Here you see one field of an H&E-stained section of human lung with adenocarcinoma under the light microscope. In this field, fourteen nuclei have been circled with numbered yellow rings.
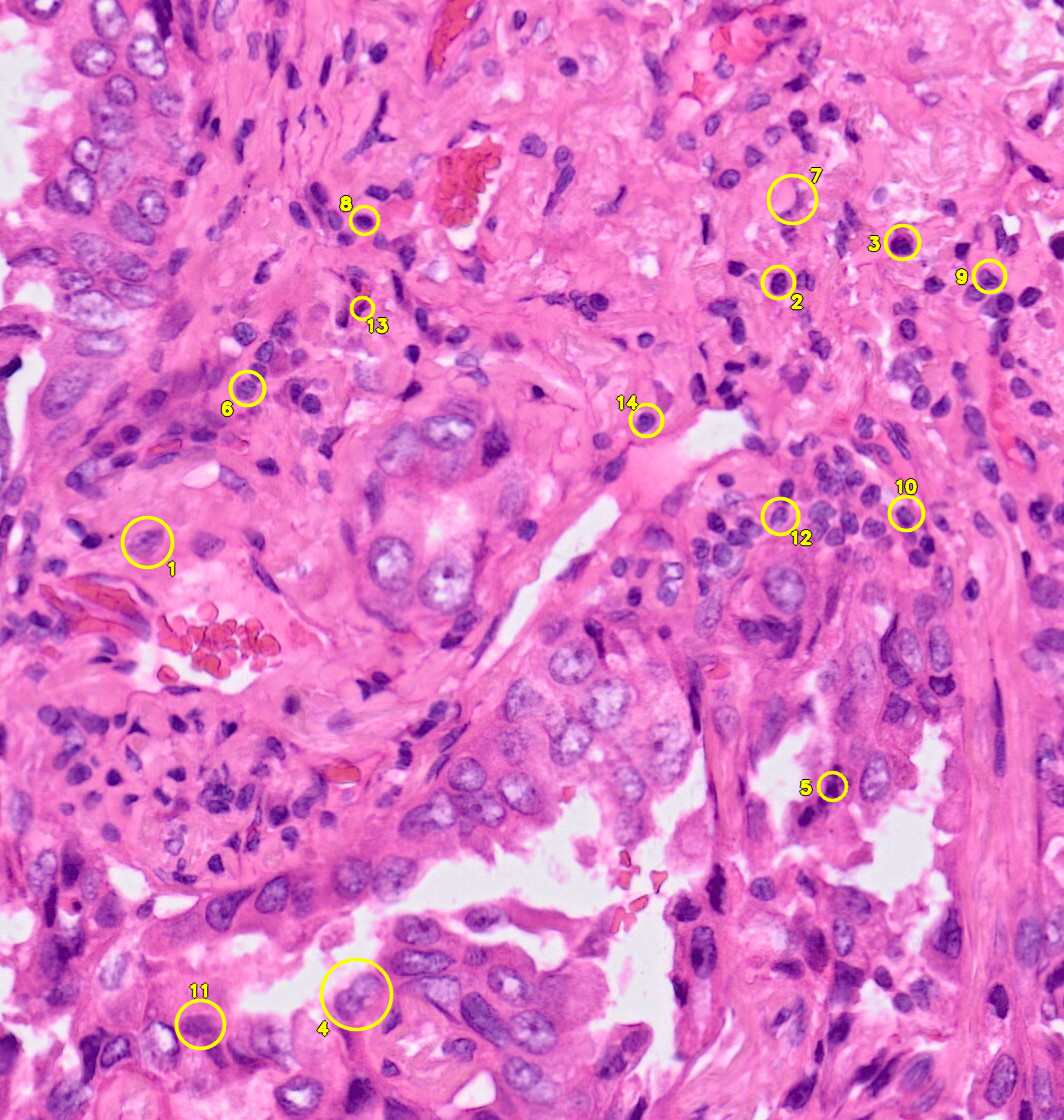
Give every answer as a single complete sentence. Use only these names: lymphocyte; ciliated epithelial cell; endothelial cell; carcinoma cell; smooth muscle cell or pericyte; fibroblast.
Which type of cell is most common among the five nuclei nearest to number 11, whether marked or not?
Carcinoma cells make up most of the five nuclei closest to number 11.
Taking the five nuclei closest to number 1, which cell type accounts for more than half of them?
Endothelial cells make up most of the five nuclei closest to number 1.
